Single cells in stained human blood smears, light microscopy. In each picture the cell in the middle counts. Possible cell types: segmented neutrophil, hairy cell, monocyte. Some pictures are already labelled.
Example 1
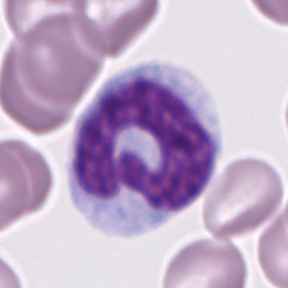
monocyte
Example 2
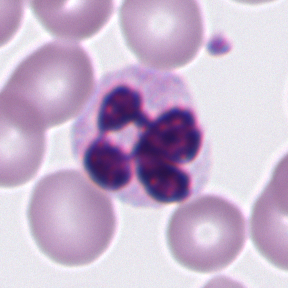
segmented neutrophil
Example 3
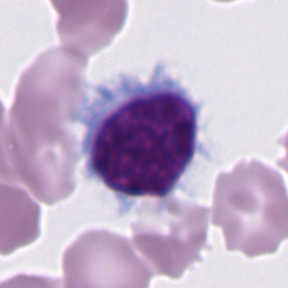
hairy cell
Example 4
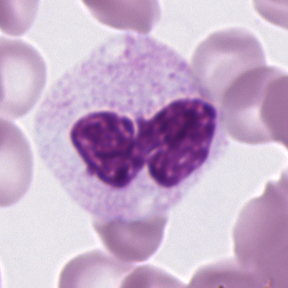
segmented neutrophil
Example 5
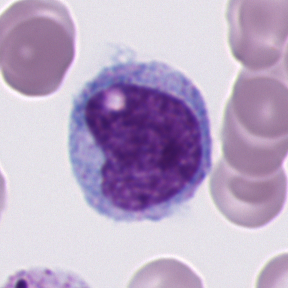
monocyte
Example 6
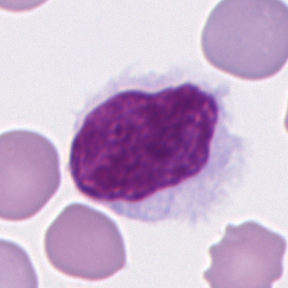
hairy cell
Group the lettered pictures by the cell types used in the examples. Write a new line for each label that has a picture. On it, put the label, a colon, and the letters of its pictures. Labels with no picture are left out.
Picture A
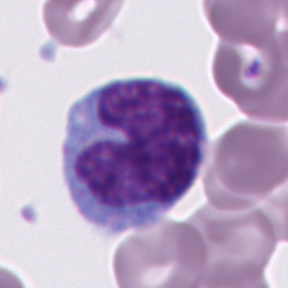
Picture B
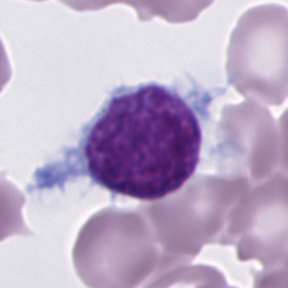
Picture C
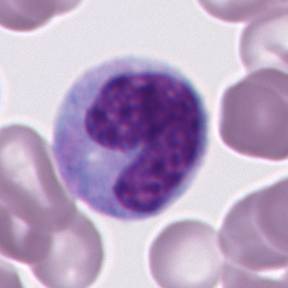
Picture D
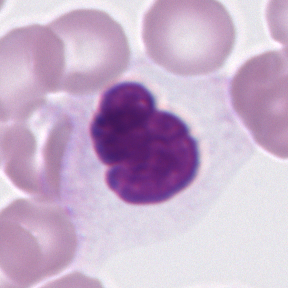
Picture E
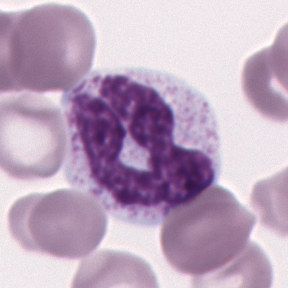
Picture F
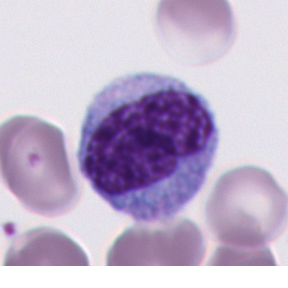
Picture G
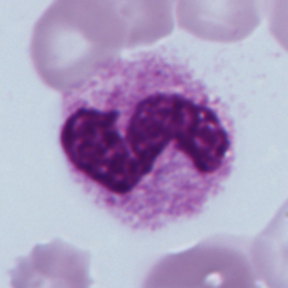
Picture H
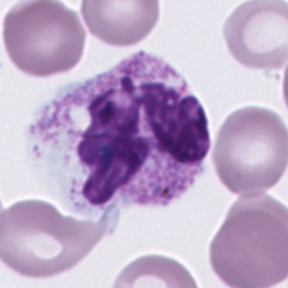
segmented neutrophil: D, E, G, H
hairy cell: B
monocyte: A, C, F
